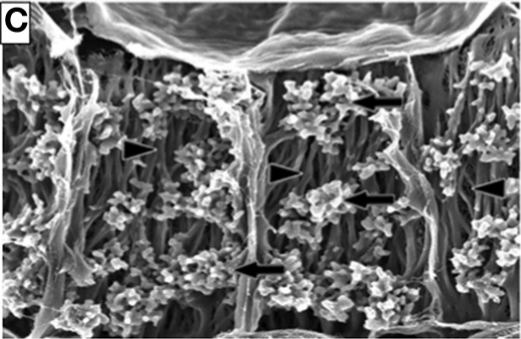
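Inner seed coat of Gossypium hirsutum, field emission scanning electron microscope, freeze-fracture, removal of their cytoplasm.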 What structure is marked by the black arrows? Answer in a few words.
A: Reticulate wall ingrowths.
